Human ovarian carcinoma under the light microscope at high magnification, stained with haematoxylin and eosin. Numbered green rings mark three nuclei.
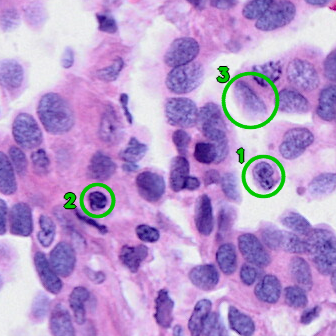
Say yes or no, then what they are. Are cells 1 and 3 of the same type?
No, cell 1 is a macrophage or monocyte, while cell 3 is a carcinoma cell.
